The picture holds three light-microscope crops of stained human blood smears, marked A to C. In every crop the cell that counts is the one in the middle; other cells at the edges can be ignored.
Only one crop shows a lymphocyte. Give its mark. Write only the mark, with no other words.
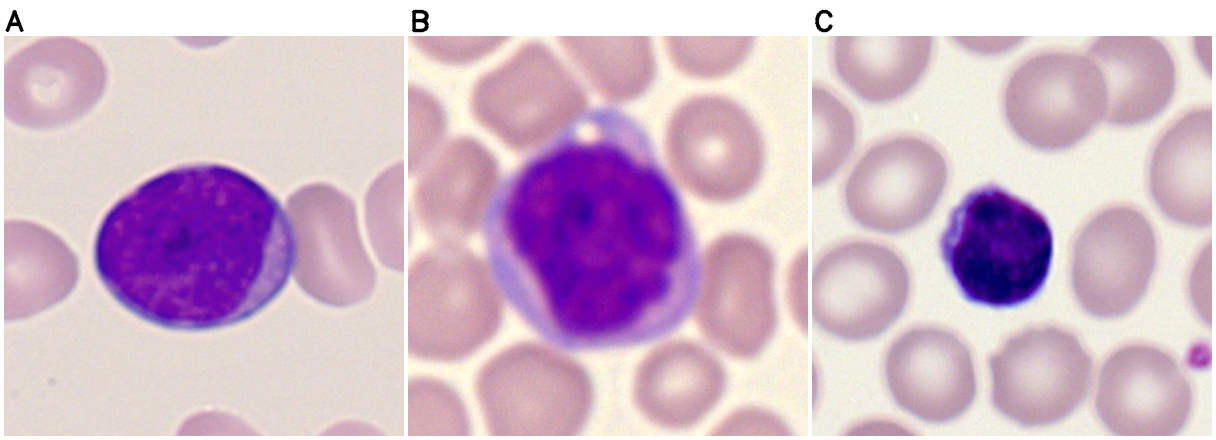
C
